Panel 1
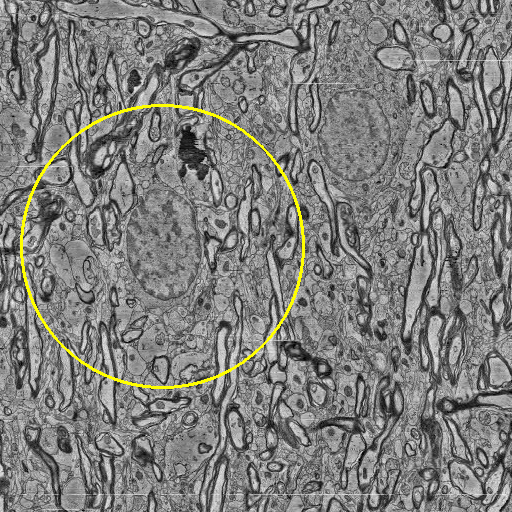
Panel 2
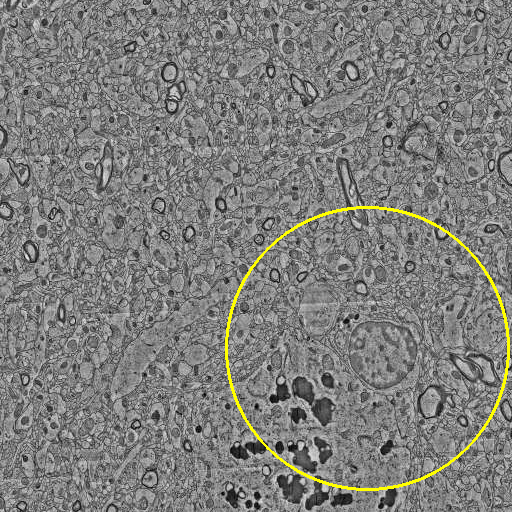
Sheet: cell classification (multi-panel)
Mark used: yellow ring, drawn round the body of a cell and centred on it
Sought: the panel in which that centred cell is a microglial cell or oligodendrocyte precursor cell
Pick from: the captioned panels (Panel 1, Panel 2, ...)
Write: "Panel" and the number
Panel 2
